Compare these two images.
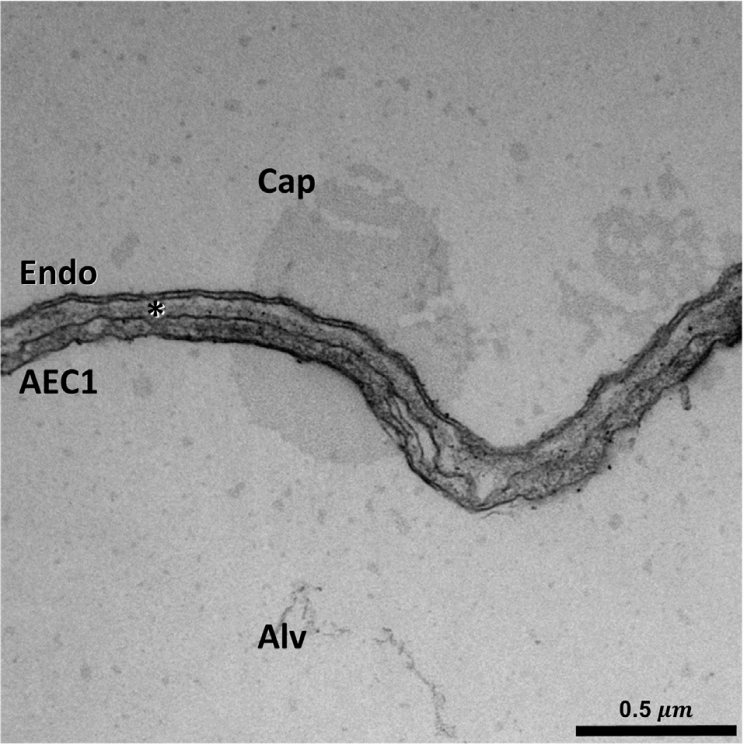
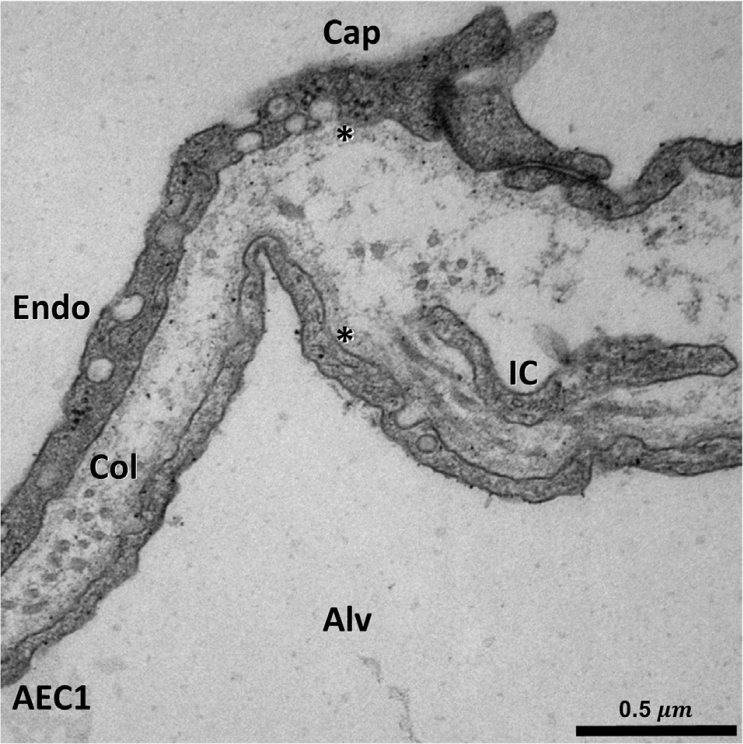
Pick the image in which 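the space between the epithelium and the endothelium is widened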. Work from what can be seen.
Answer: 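The second image. Second image: a broad pale space with fibrils and cell processes separates the two cell sheets. First image: the two cell sheets lie closely apposed with only a thin layer between them.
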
